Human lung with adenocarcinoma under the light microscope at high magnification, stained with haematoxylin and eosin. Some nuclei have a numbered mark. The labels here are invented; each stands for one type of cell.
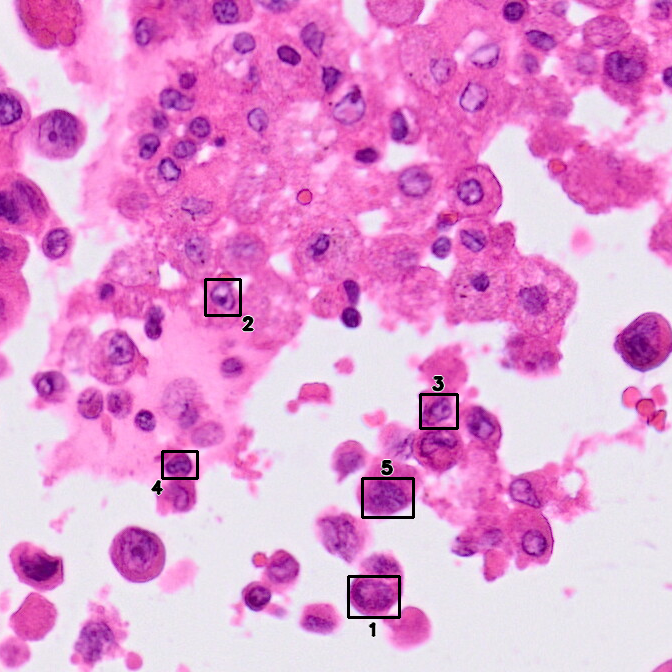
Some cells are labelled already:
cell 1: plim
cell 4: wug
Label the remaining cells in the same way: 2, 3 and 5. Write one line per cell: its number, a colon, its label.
2: wug
3: wug
5: plim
